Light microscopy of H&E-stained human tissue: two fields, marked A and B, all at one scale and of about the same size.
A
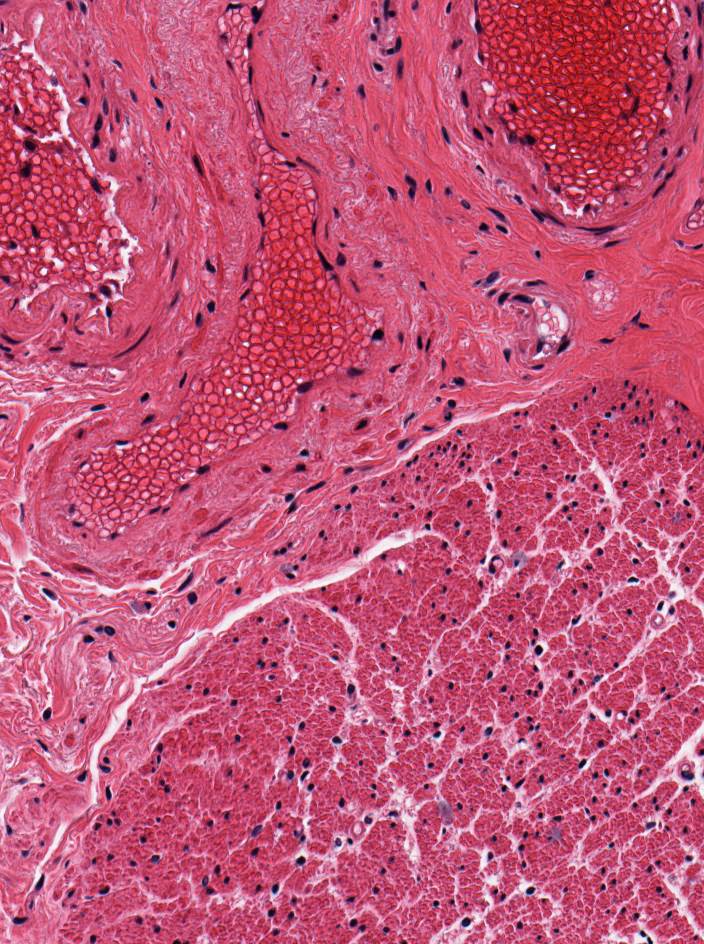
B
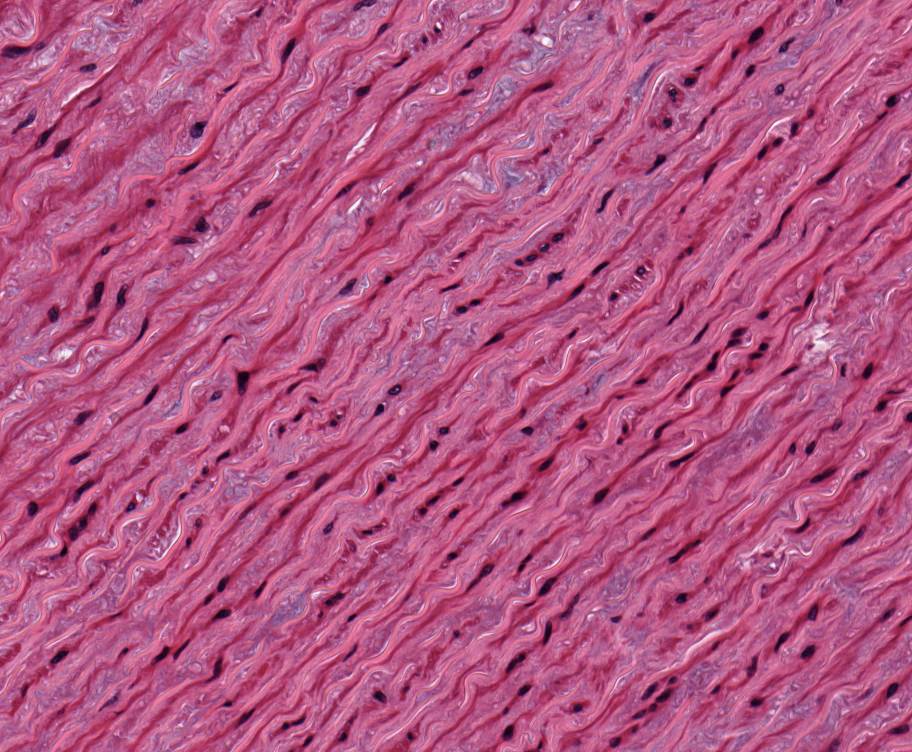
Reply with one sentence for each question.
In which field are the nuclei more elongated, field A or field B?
The nuclei are more elongated in field B.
